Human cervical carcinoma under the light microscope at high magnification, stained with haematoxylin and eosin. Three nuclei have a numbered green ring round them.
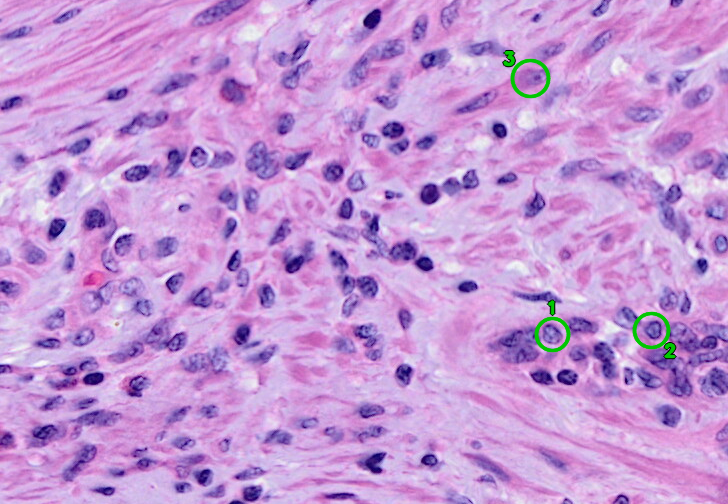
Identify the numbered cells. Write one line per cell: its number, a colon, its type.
1: endothelial cell
2: endothelial cell
3: smooth muscle cell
